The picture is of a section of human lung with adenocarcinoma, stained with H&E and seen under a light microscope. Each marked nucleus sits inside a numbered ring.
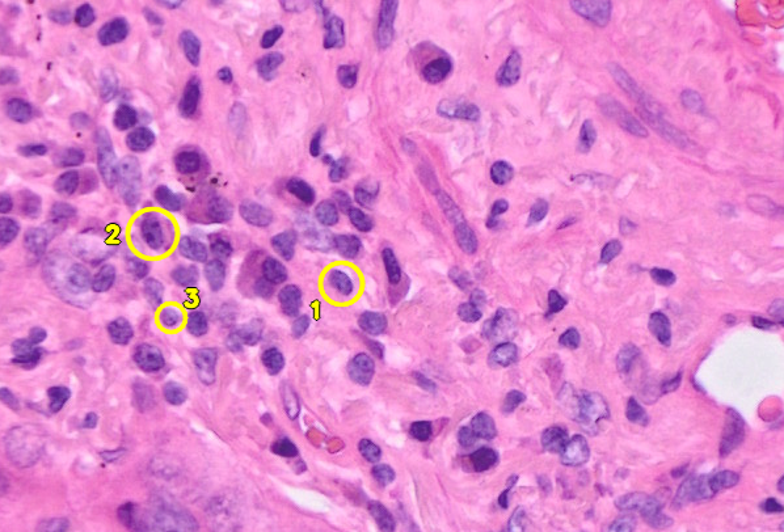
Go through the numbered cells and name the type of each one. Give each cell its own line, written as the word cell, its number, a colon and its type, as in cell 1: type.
cell 1: lymphocyte
cell 2: plasma cell
cell 3: lymphocyte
